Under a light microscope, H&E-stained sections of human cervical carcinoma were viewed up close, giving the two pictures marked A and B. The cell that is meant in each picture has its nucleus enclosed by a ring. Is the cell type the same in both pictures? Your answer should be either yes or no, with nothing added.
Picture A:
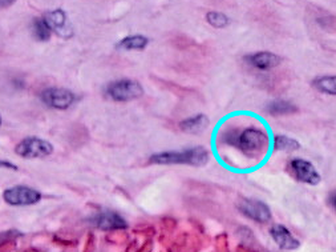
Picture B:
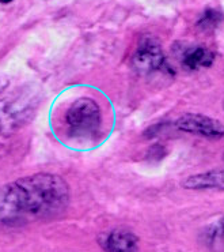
yes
